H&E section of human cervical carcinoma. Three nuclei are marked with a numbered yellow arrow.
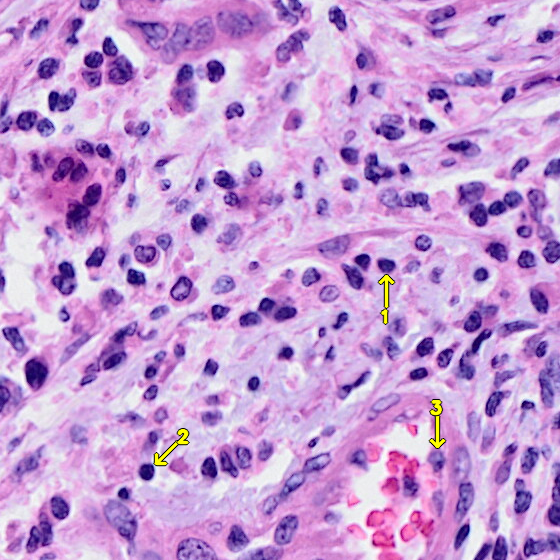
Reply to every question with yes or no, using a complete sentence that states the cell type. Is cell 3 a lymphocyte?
No, cell 3 is not a lymphocyte; an endothelial cell is correct.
